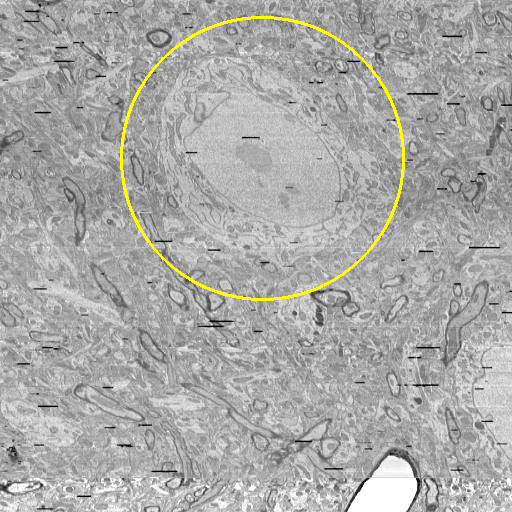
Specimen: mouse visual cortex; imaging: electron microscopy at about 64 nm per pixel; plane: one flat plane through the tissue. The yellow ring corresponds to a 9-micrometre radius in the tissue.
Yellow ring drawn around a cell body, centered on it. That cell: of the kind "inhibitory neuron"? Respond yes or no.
yes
